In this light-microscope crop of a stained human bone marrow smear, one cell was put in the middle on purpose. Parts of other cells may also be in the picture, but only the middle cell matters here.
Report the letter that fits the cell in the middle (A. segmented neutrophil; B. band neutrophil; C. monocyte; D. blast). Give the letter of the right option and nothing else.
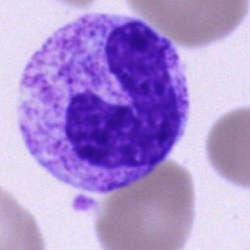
B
